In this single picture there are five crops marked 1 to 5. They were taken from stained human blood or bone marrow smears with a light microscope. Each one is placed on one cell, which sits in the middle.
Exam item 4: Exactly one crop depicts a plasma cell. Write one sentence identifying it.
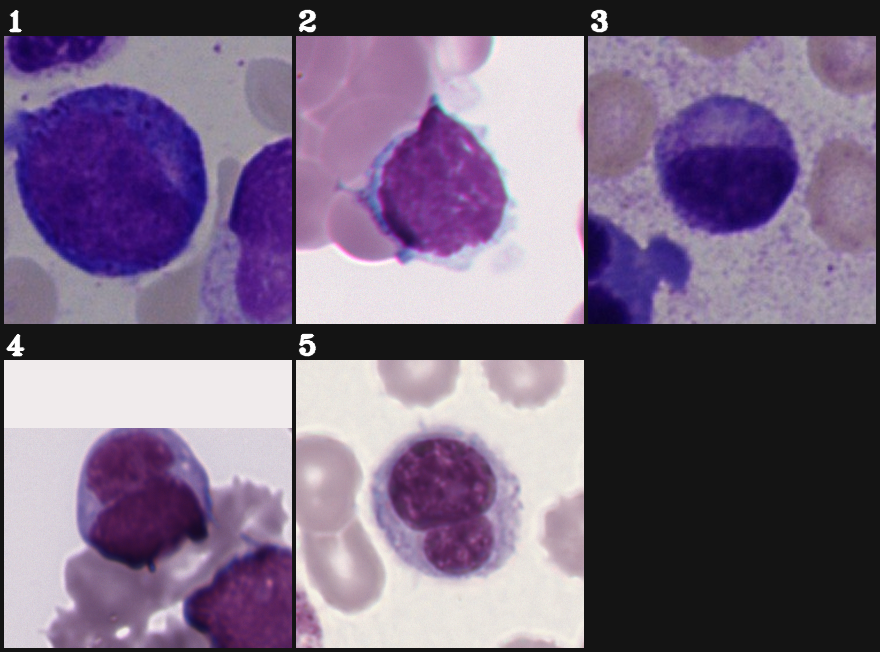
Only in crop 5 is a plasma cell shown.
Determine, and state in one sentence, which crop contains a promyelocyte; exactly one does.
The crop showing a promyelocyte in this series is crop 1.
